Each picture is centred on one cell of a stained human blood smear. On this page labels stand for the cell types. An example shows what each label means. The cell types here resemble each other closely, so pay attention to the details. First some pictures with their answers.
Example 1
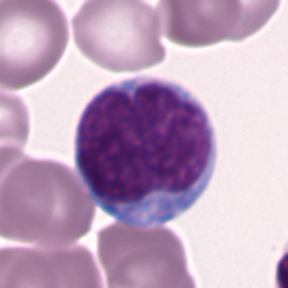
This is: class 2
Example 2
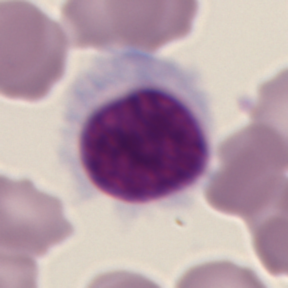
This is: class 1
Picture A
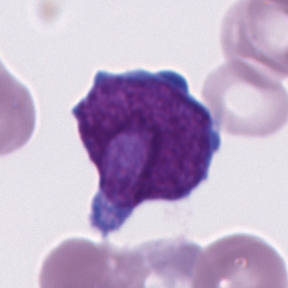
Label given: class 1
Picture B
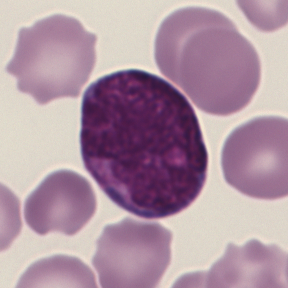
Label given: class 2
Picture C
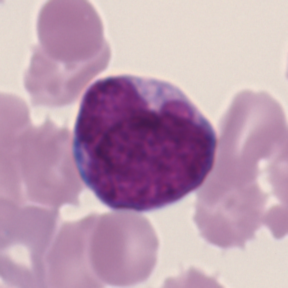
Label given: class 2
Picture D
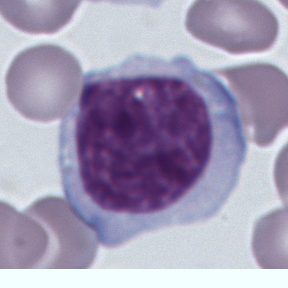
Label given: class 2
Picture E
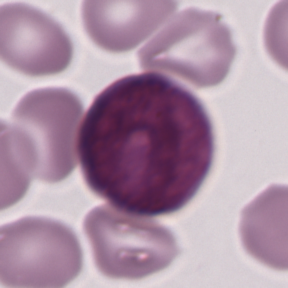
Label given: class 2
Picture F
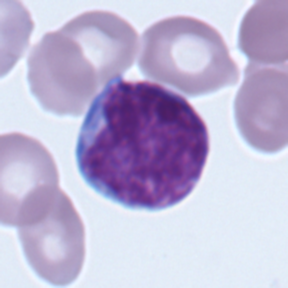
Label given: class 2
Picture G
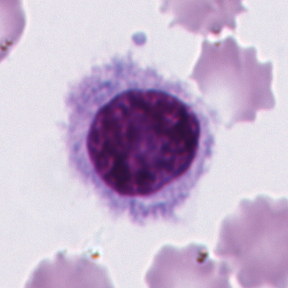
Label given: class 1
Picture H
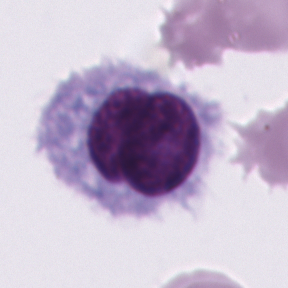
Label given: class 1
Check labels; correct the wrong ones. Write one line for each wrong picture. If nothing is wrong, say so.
Wrong: A (class 1); correct: class 2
